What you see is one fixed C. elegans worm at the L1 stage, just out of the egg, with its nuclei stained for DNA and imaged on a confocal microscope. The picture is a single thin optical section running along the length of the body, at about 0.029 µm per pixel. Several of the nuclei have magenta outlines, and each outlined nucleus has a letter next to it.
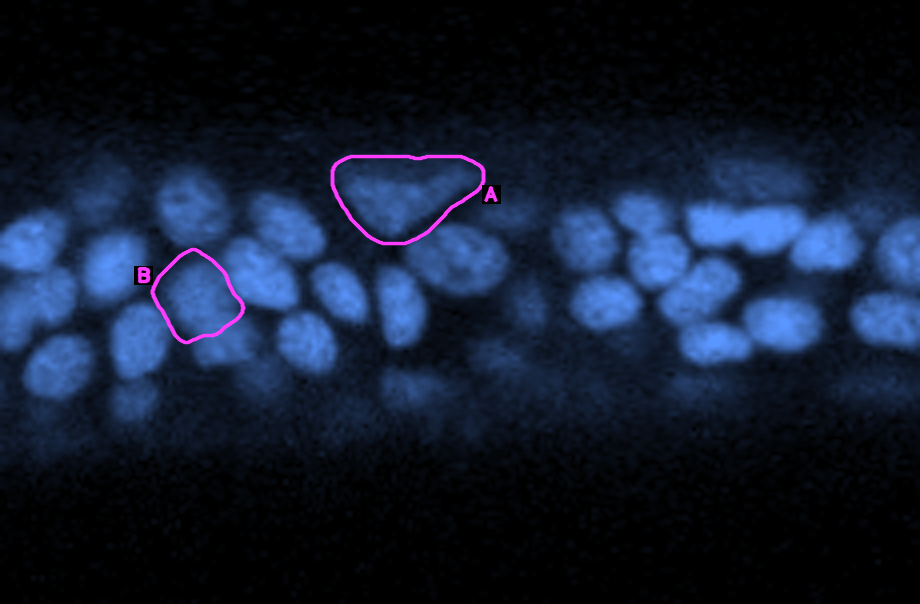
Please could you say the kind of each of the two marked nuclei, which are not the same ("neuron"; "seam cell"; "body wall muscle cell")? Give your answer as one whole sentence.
The nucleus A is that of a body wall muscle cell, while B is that of a neuron.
